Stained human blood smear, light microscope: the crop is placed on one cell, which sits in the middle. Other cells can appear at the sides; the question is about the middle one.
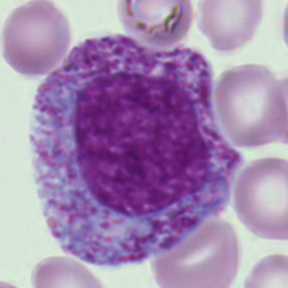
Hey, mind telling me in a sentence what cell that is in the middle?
What sits at the centre of this crop is a promyelocyte.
